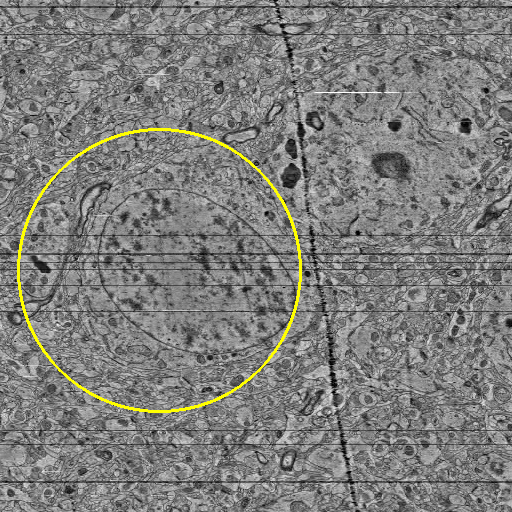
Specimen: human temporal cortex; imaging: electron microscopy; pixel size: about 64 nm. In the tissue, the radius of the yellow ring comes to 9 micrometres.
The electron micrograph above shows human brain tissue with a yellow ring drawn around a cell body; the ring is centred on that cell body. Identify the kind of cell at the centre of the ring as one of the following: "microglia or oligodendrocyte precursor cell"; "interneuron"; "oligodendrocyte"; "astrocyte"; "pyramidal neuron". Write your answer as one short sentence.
The cell at the centre of the ring is a pyramidal neuron.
